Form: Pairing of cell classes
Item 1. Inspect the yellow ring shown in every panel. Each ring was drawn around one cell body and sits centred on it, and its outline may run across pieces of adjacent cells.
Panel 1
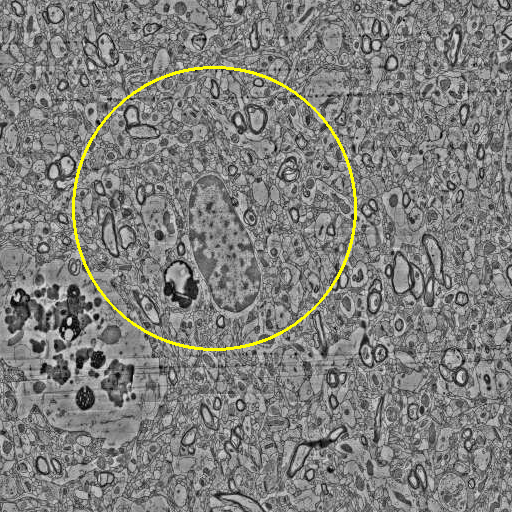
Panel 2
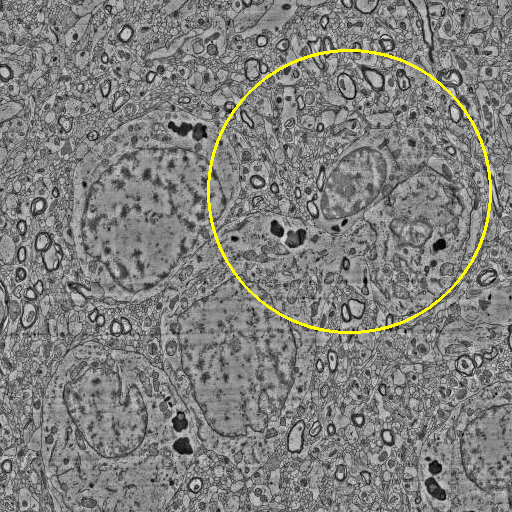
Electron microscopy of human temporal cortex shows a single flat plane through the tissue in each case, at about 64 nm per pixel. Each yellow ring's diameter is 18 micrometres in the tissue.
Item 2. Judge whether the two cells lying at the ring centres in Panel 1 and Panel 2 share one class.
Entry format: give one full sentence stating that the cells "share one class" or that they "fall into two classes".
The cells at the ring centres in Panel 1 and Panel 2 fall into two classes.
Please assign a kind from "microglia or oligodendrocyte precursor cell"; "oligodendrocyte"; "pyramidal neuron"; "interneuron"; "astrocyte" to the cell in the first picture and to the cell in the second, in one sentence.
In the first picture we have a microglial cell or oligodendrocyte precursor cell, and in the second, an oligodendrocyte.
